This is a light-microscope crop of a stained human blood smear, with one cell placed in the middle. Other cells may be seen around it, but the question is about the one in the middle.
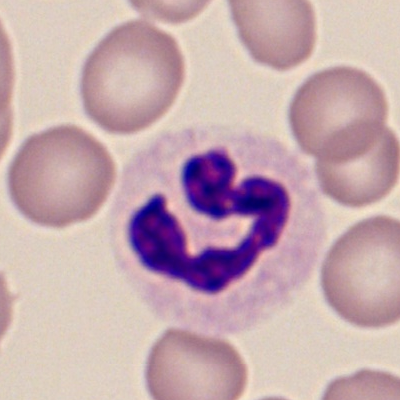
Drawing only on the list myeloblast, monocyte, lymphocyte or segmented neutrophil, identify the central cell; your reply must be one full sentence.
Classified as a segmented neutrophil is the cell in the middle of this crop.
